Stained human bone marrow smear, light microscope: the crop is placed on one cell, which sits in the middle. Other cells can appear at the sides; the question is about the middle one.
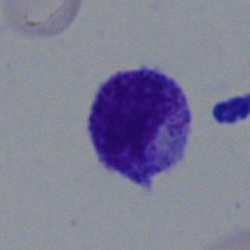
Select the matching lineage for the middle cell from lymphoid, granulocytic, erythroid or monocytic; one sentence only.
The central cell is regarded as belonging to the lymphoid lineage.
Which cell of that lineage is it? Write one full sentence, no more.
The cell marked by its central position in the crop is a lymphocyte.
